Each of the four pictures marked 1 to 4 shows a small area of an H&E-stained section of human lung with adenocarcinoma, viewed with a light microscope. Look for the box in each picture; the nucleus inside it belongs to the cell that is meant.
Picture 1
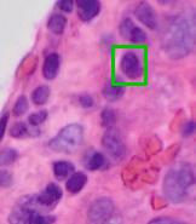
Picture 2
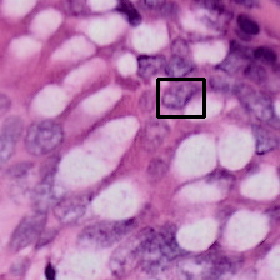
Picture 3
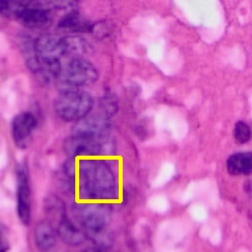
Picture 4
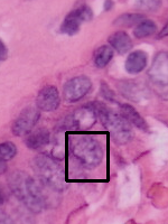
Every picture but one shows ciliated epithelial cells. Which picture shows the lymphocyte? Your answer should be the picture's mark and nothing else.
1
